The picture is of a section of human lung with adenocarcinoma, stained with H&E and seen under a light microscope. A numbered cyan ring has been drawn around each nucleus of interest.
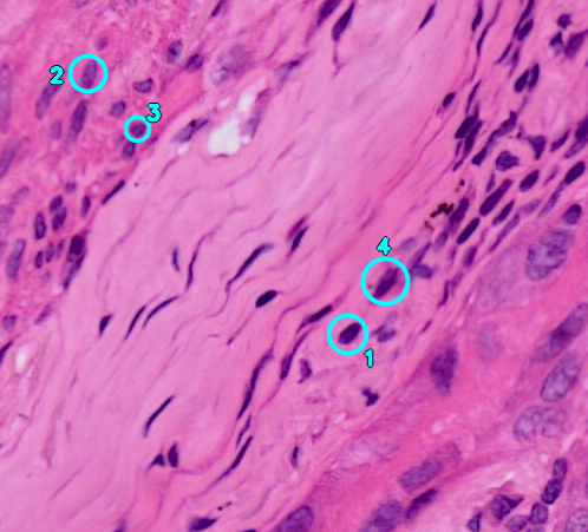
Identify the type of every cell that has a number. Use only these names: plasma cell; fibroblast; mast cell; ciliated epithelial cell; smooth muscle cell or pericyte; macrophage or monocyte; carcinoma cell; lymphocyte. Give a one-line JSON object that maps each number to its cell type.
{"1": "lymphocyte", "2": "smooth muscle cell or pericyte", "3": "smooth muscle cell or pericyte", "4": "plasma cell"}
